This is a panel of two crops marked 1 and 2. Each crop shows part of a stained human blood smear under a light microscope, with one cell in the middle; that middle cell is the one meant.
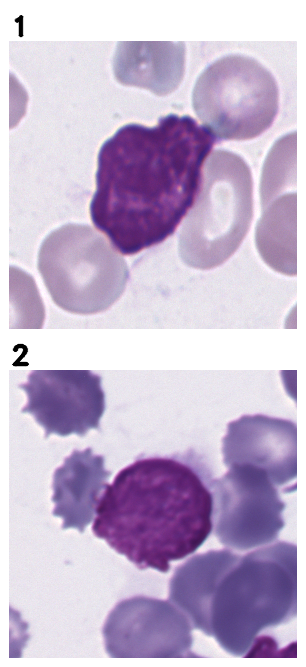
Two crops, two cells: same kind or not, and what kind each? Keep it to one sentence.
No, crop 1 displays a smudge cell, and crop 2 displays a myeloblast.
